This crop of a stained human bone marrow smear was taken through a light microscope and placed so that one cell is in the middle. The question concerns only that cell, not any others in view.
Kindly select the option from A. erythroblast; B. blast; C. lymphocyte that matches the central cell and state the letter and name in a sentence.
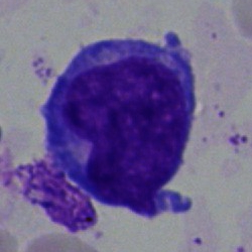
Since the middle cell is a blast, option B is the right one.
